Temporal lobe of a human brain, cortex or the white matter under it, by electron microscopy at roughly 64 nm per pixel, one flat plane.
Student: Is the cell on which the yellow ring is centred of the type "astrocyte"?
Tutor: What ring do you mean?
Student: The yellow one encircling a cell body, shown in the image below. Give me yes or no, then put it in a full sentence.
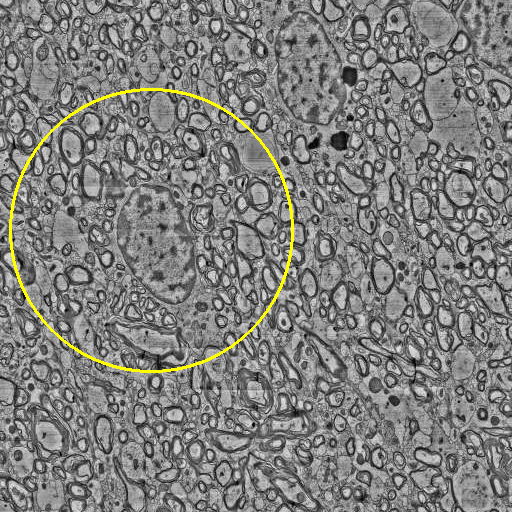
No, the cell on which the yellow ring in the image is centred has a different type.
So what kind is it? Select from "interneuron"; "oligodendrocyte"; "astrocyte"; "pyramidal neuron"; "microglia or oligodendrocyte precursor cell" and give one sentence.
What the ring is centred on is an oligodendrocyte.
